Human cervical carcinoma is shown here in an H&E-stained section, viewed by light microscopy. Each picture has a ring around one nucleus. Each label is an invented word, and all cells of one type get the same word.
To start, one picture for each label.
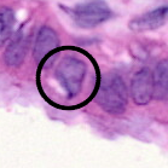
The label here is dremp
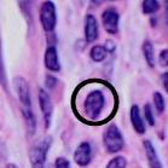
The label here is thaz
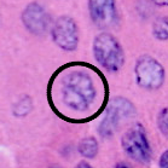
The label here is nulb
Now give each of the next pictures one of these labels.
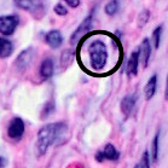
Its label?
thaz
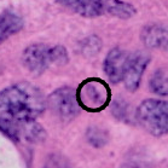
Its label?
nulb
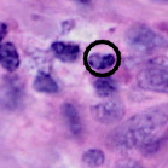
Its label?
thaz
